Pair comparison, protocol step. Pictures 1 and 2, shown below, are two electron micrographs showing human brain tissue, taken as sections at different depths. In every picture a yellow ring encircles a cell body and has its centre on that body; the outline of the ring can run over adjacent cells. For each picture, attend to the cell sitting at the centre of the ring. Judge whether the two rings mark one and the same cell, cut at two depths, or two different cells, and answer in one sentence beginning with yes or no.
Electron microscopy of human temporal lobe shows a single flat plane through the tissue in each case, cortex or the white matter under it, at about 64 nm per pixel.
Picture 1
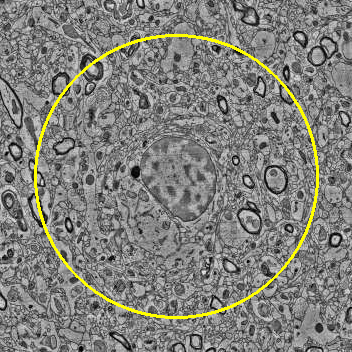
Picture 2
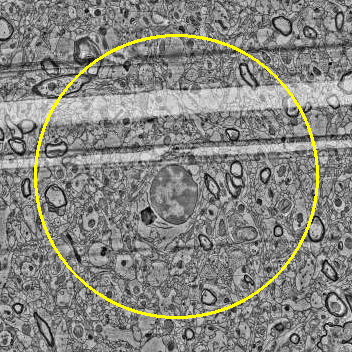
Yes, one and the same cell lies under both rings.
